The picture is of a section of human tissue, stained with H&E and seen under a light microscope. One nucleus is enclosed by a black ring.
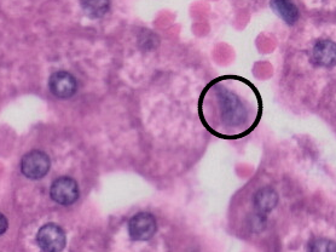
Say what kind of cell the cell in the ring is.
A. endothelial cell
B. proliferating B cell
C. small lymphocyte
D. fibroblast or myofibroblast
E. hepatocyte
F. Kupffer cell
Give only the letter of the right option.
F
